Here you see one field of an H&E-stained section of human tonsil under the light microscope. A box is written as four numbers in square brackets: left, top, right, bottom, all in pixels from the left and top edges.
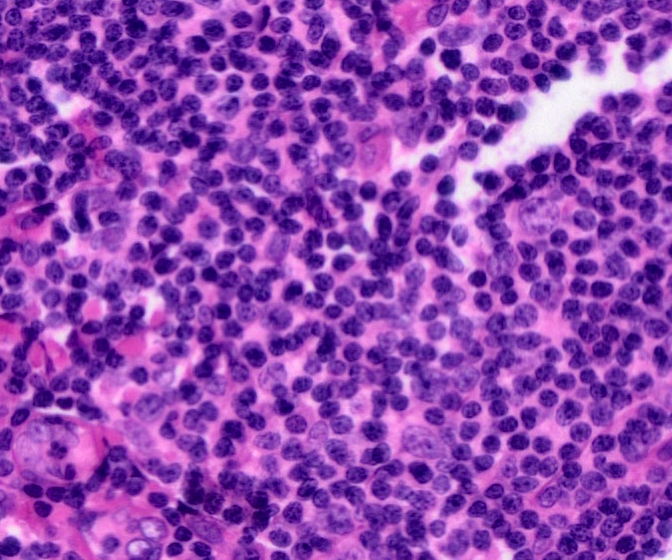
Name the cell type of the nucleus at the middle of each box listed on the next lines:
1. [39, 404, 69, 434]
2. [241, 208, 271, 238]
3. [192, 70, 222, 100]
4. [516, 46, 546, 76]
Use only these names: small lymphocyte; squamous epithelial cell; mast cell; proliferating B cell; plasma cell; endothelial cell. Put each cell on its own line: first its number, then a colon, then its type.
1: endothelial cell
2: small lymphocyte
3: small lymphocyte
4: small lymphocyte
